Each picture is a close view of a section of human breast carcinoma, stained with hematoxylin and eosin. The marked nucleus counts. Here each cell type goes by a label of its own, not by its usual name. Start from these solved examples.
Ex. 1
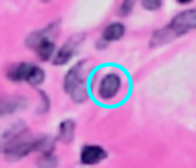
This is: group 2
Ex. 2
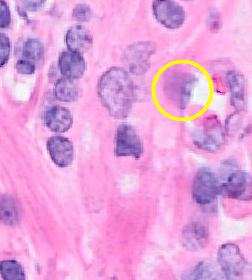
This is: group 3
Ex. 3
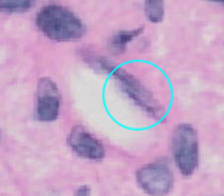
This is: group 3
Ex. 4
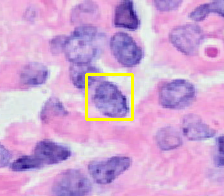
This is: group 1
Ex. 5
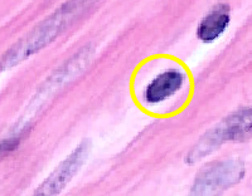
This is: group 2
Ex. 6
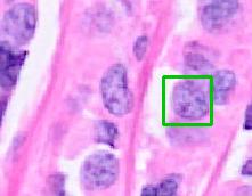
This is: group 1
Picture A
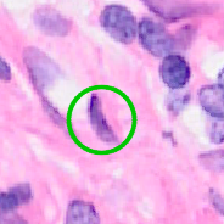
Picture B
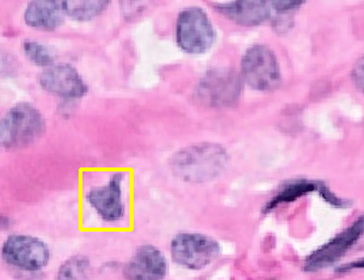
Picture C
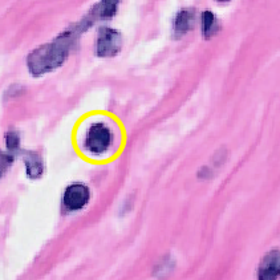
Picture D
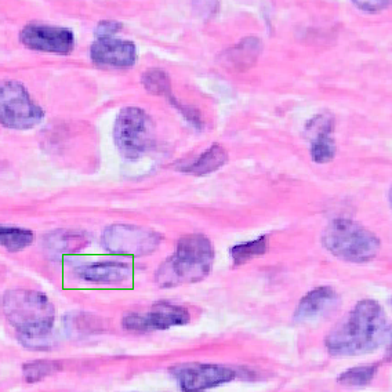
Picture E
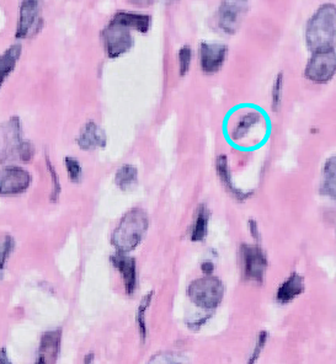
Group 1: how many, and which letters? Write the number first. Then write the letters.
0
